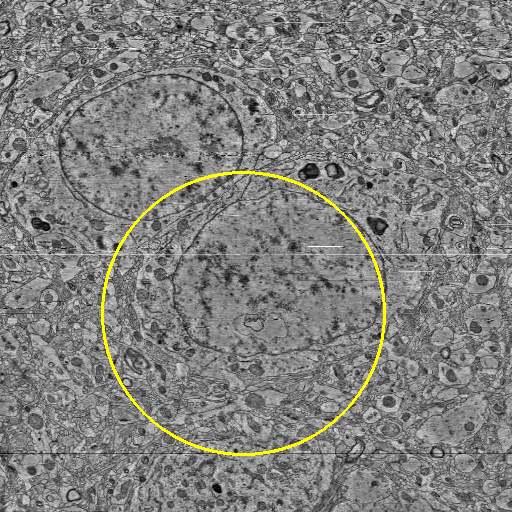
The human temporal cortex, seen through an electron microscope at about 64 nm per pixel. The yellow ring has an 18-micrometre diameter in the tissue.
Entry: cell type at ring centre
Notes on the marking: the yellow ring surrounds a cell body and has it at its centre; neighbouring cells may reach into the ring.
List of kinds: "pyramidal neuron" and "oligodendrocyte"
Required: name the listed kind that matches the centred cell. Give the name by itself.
pyramidal neuron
